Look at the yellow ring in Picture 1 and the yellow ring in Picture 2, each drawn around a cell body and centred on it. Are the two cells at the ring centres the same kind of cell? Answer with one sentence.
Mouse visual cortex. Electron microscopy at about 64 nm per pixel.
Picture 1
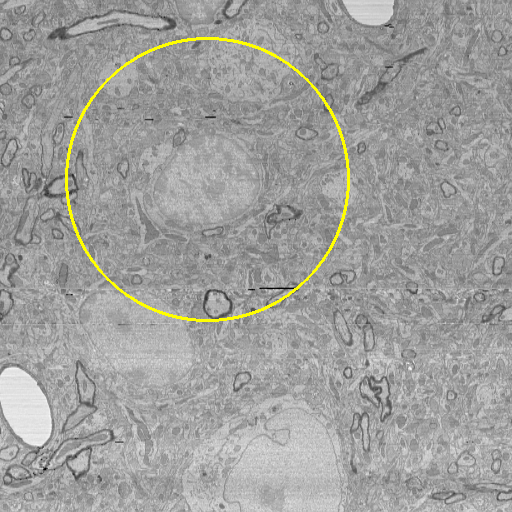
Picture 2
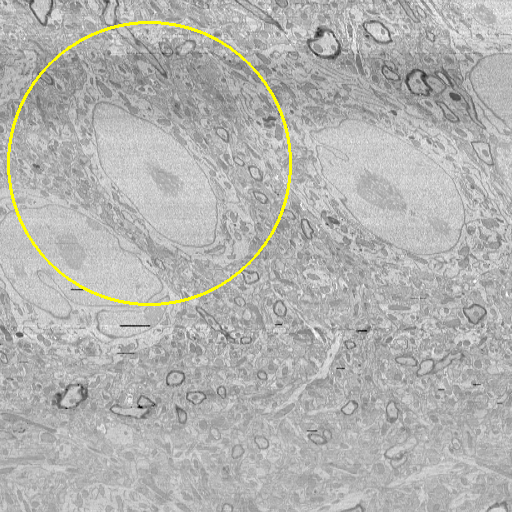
No, they are cells of two kinds.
